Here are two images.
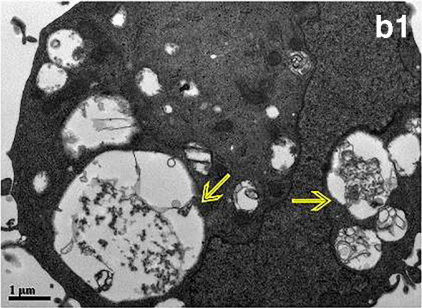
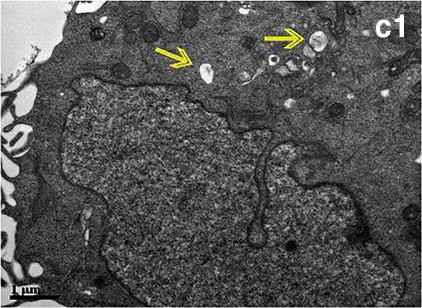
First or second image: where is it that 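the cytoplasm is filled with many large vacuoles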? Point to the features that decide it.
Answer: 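Second image: only a few small pale vacuoles lie in the cytoplasm beside the nucleus. First image: numerous large empty-looking vacuoles, some several micrometres across, crowd the cytoplasm.
Conclusion: the first image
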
